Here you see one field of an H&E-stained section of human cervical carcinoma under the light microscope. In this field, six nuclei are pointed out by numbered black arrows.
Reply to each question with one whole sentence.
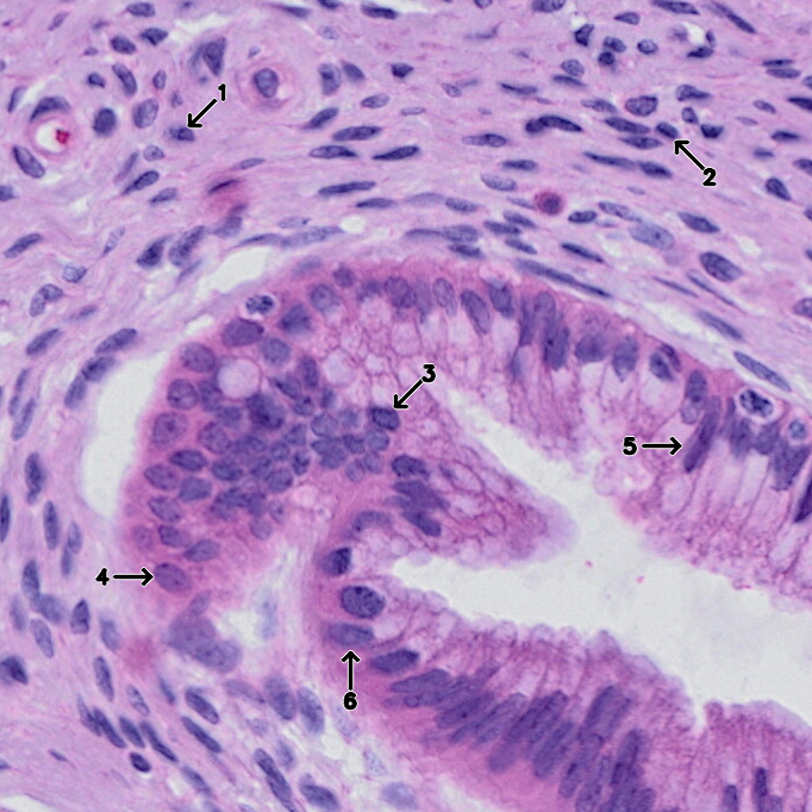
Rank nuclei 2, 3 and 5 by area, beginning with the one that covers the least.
The order from the smallest nucleus to the largest is 2, 3, 5.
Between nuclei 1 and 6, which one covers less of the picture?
The smaller nucleus is 1, and 6 covers roughly 2.5 times its area.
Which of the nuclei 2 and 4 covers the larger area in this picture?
The larger nucleus is 4, at roughly 2 times the area of 2.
